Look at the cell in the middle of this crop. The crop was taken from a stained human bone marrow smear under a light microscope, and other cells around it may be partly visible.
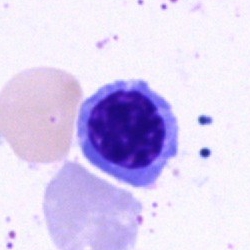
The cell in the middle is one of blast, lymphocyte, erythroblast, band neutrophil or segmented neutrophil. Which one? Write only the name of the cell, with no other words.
erythroblast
